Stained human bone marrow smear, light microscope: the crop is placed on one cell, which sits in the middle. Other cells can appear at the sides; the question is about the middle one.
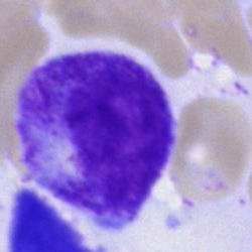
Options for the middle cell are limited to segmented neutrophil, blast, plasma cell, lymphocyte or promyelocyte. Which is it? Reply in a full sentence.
The cell marked by its central position in the crop is a promyelocyte.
